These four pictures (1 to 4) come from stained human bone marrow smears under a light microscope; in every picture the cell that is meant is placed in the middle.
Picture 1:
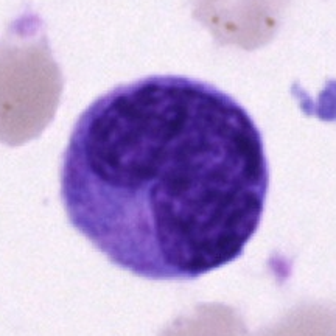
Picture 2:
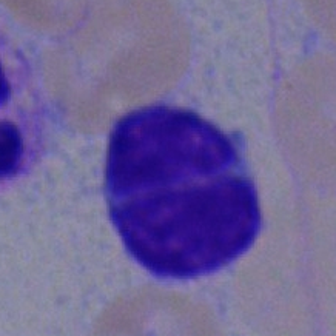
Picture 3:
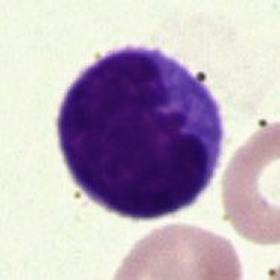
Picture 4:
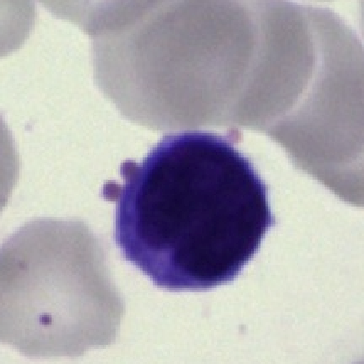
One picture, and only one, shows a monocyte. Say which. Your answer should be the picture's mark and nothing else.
1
